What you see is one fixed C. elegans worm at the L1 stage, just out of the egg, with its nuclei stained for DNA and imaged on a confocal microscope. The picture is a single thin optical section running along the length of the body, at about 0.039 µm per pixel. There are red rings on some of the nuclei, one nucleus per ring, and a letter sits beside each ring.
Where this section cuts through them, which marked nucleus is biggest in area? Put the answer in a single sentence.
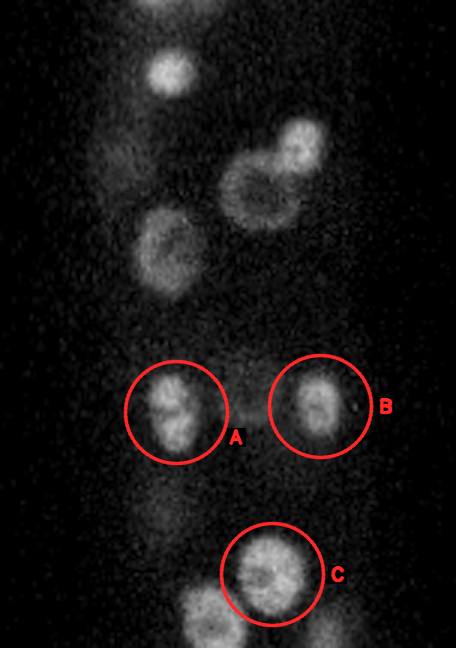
The largest cut area is that of C.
